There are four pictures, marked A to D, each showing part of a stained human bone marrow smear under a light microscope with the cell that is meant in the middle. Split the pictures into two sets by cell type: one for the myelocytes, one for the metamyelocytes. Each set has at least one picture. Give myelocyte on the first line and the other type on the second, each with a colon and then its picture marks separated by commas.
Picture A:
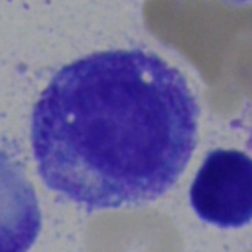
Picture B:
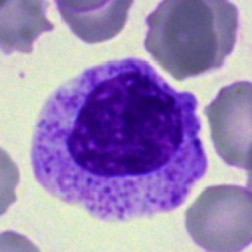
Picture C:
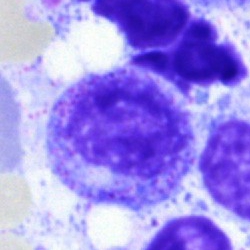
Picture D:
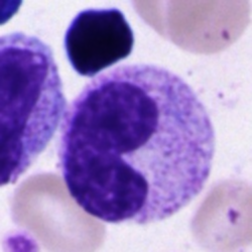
myelocyte: A, B
metamyelocyte: C, D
